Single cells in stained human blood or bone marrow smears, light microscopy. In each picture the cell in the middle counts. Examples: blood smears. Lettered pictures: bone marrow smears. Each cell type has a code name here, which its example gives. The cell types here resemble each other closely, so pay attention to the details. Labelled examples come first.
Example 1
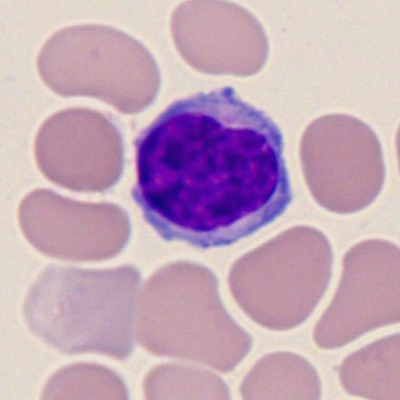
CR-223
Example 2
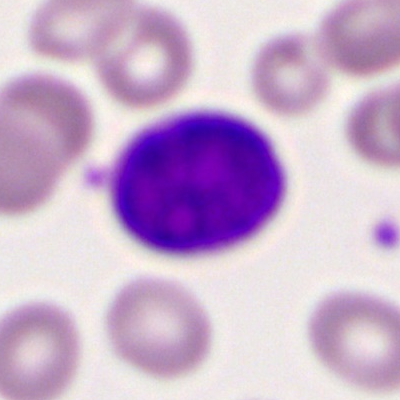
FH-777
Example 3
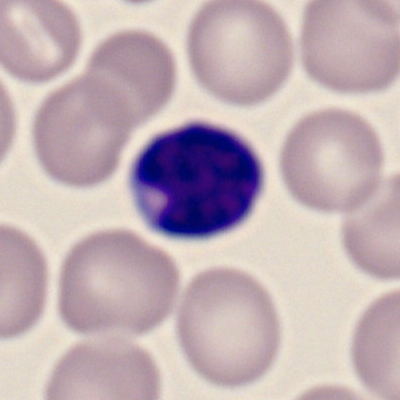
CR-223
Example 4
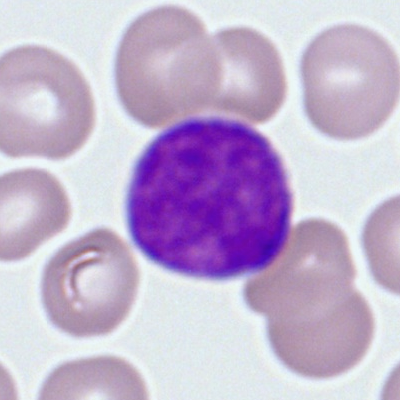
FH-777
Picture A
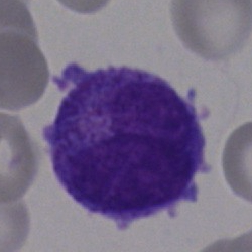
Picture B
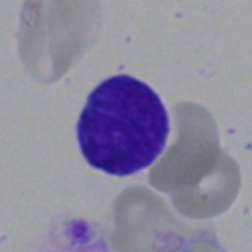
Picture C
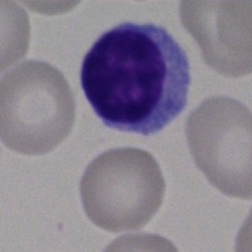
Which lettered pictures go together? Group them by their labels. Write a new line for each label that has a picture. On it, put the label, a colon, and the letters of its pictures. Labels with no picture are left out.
CR-223: B, C
FH-777: A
